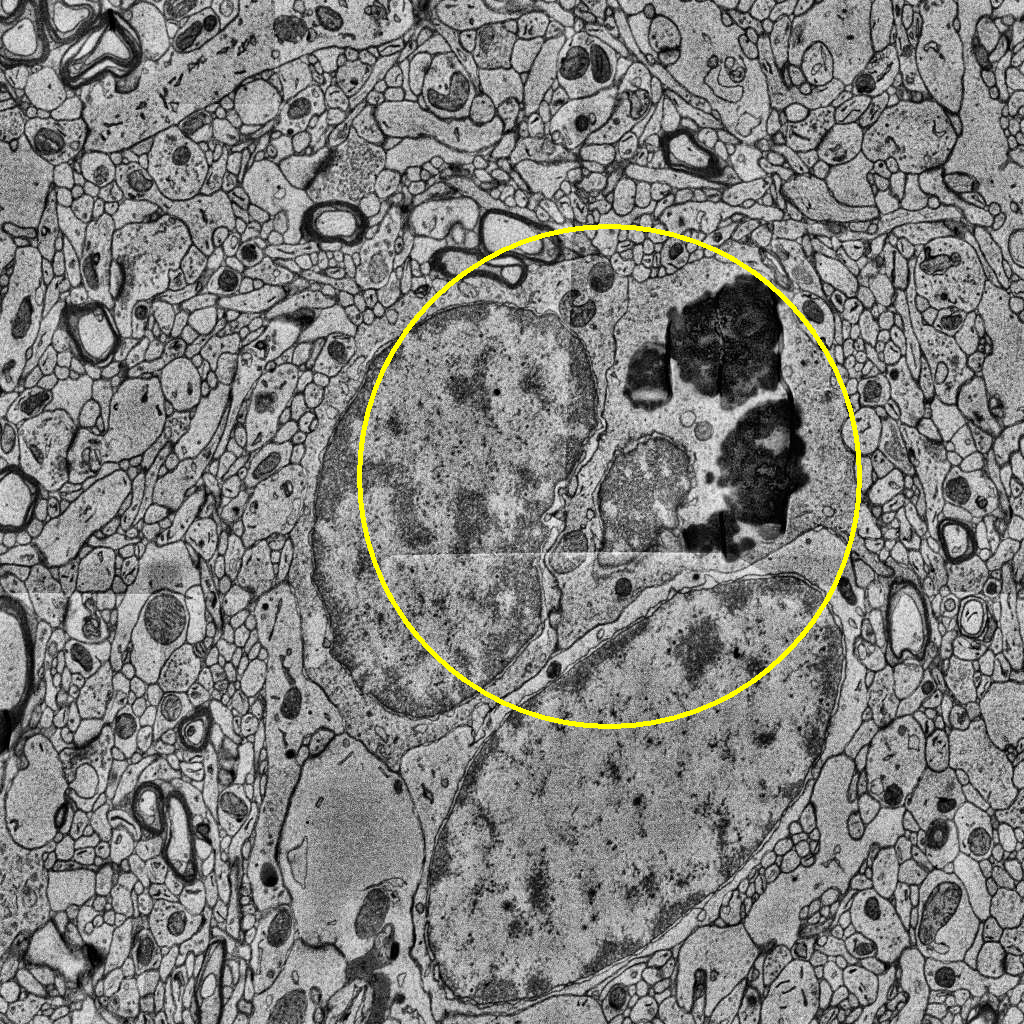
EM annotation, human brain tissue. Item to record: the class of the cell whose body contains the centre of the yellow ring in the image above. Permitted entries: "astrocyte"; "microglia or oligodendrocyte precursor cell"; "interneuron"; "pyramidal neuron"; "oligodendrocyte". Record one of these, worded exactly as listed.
oligodendrocyte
